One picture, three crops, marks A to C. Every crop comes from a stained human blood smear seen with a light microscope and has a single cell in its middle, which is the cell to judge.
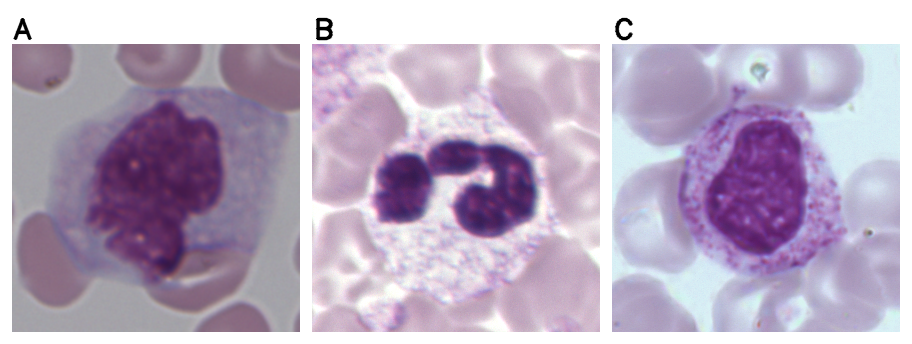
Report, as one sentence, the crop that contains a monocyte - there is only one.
Crop A, of the crops presented, is the one showing a monocyte.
